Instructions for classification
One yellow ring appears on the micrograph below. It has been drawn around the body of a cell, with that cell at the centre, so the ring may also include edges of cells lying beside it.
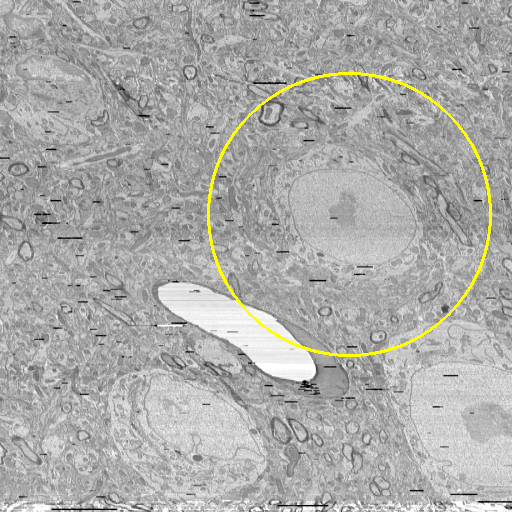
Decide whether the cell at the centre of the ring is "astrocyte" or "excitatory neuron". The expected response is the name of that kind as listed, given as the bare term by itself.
excitatory neuron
